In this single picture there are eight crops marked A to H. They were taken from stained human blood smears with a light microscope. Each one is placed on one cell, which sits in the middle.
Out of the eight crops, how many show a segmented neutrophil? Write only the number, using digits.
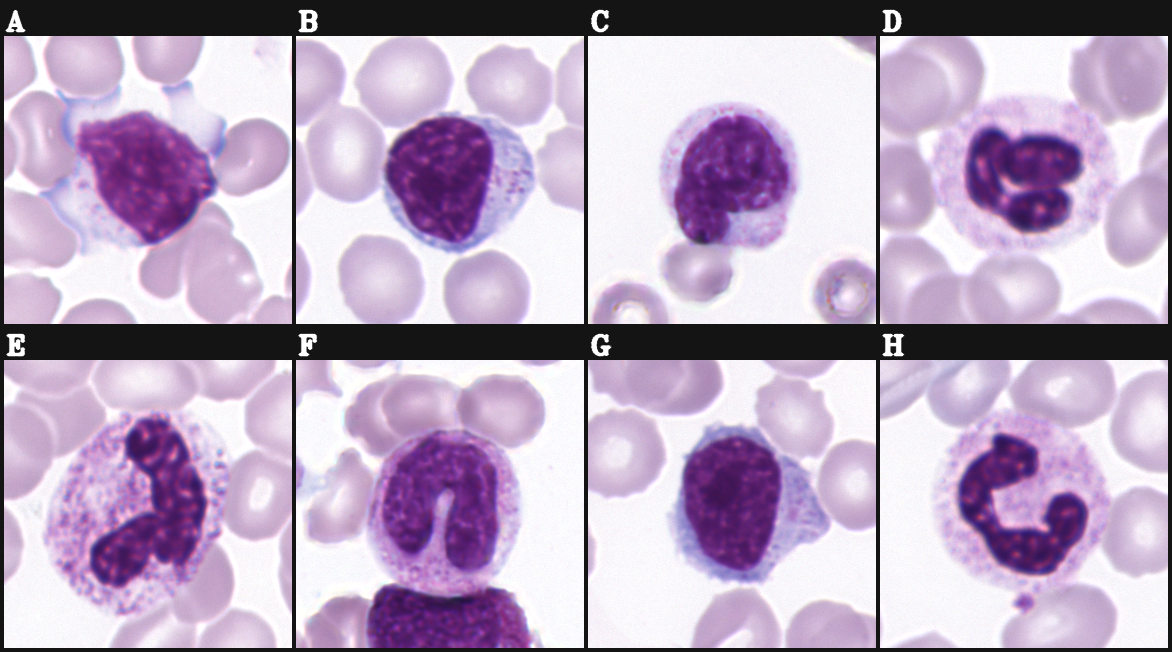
3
